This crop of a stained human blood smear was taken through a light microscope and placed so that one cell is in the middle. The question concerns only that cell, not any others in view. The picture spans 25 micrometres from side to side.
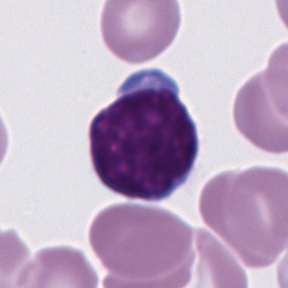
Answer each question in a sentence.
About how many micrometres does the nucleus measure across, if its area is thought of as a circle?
The nucleus is about 9 micrometres across.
